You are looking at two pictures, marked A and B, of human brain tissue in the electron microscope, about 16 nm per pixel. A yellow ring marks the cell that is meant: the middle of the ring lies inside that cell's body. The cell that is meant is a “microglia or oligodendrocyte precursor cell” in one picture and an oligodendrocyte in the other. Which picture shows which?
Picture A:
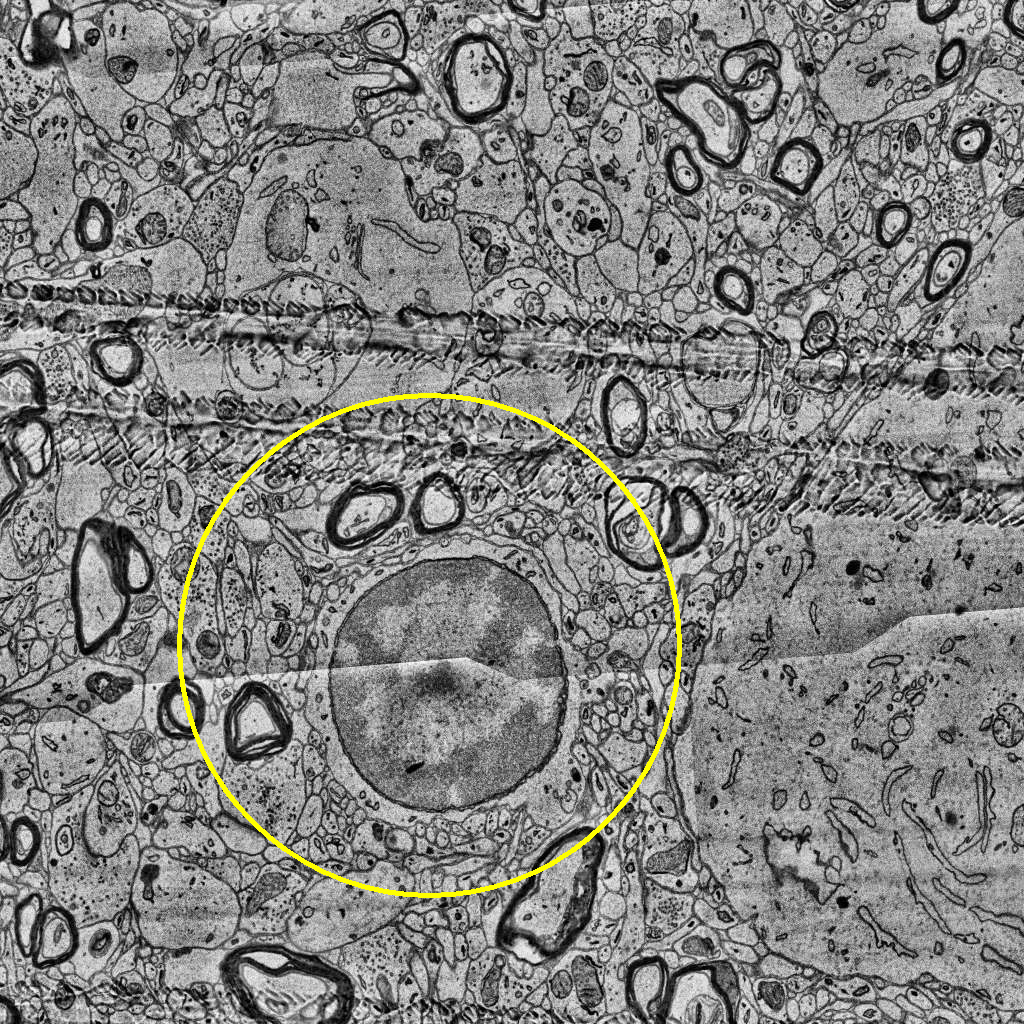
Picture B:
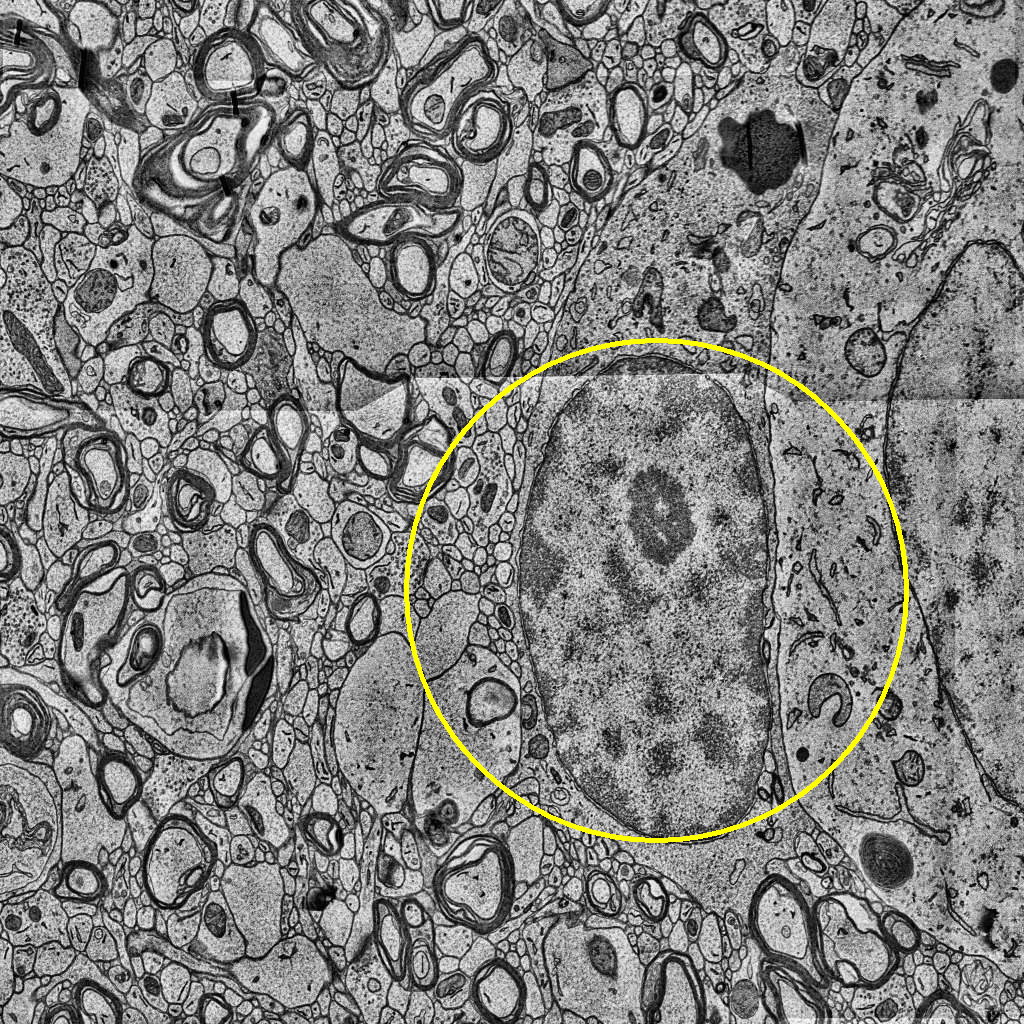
It is picture A that shows a “microglia or oligodendrocyte precursor cell”, and picture B that shows an oligodendrocyte.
